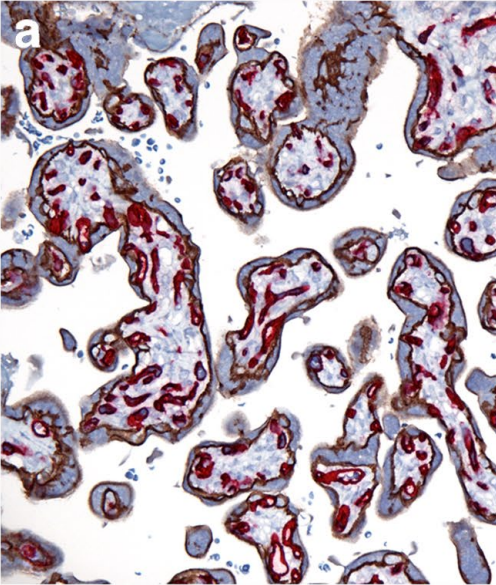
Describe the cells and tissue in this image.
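This field shows many distal villi of the placenta cut in cross and oblique section, lying separated by clear intervillous space that holds a few scattered red blood cells. Each villus is bounded by a thin epithelial covering whose outline is marked by a brown line, with a paler grey-blue cytoplasmic band along the surface. Inside, the loose pale blue stroma contains numerous small vessels, seen as crisp red rings and elongated red profiles, many lying close beneath the surface. The red staining stays confined to these vessel walls and the stroma between them is clean. At the upper right, part of a larger villus with dense pale stroma and a big vessel is cut.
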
